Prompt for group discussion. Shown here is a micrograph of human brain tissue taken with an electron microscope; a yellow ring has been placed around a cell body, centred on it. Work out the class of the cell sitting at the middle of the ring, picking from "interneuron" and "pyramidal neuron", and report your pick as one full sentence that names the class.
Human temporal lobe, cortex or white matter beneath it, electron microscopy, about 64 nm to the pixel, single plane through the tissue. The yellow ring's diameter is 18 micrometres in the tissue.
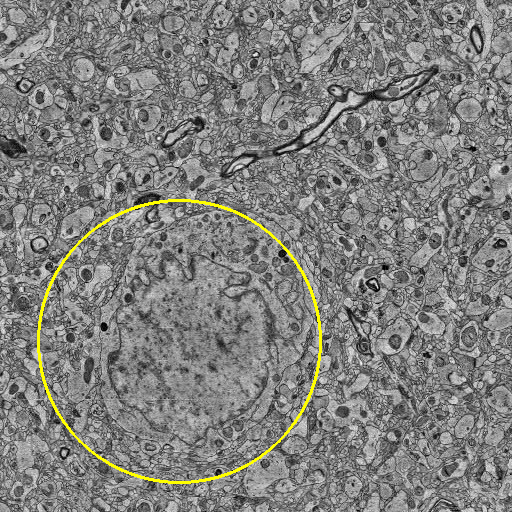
The cell sitting at the middle of the yellow ring is an interneuron.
